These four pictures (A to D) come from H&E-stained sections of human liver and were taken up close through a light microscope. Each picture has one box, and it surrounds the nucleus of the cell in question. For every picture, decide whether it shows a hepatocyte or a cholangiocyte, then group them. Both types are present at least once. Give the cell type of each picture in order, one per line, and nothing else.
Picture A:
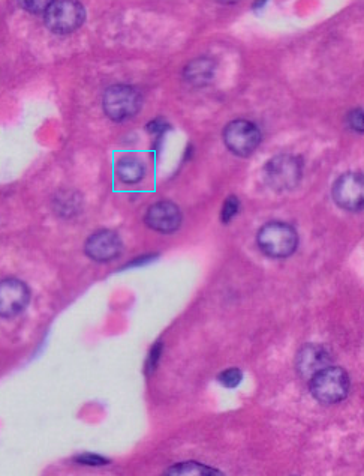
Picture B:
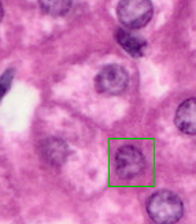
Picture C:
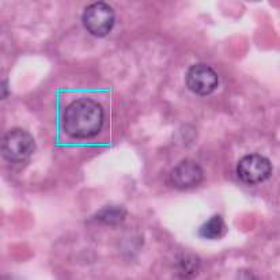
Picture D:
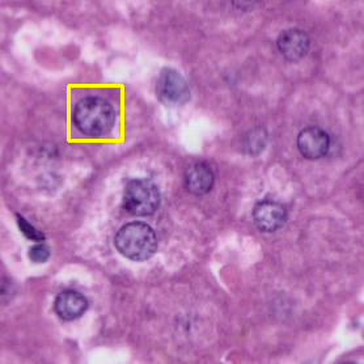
cholangiocyte
hepatocyte
hepatocyte
hepatocyte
